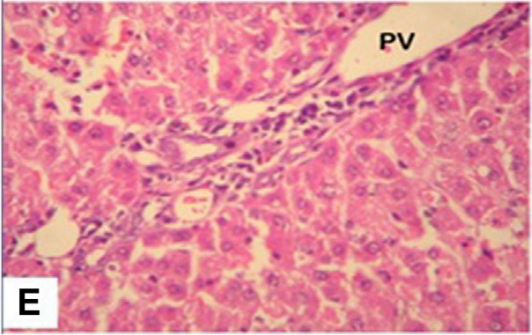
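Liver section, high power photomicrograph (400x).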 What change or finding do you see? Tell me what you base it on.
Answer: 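A cluster of small cells with dark nuclei lies in the connective tissue beside the portal vein. The small cells are confined mostly to the portal area. Hepatocytes around have pink cytoplasm and round nuclei. That points to this answer: inflammatory cell infiltration.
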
